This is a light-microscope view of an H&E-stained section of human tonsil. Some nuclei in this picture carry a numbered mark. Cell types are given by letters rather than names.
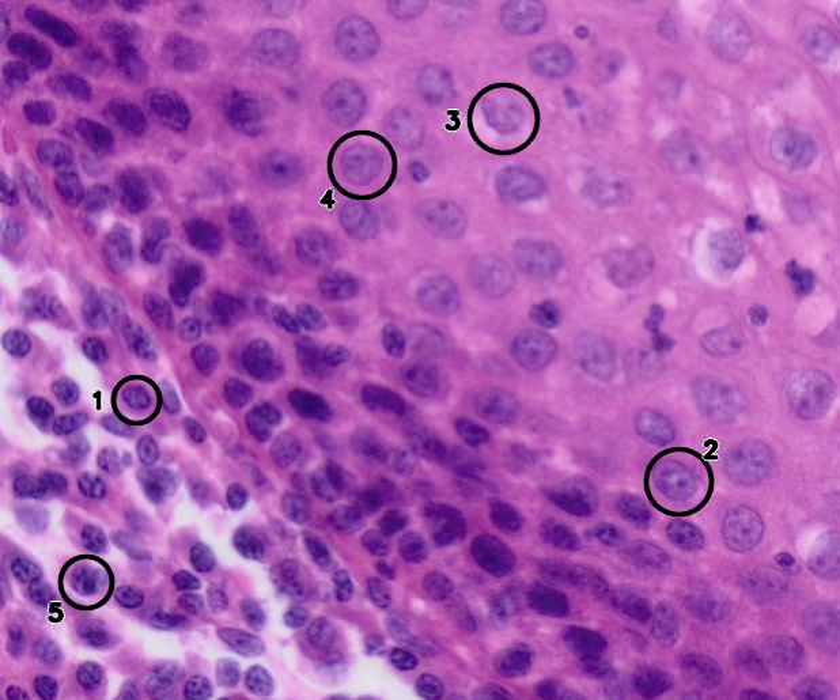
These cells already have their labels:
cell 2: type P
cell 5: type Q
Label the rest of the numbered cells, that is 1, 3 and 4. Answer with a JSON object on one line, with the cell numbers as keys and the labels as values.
{"1": "type Q", "3": "type P", "4": "type P"}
